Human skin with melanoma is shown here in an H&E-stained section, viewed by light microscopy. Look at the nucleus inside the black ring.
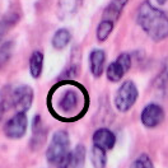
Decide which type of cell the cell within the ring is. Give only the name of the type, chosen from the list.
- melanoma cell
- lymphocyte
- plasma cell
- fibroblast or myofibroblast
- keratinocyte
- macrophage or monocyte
lymphocyte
